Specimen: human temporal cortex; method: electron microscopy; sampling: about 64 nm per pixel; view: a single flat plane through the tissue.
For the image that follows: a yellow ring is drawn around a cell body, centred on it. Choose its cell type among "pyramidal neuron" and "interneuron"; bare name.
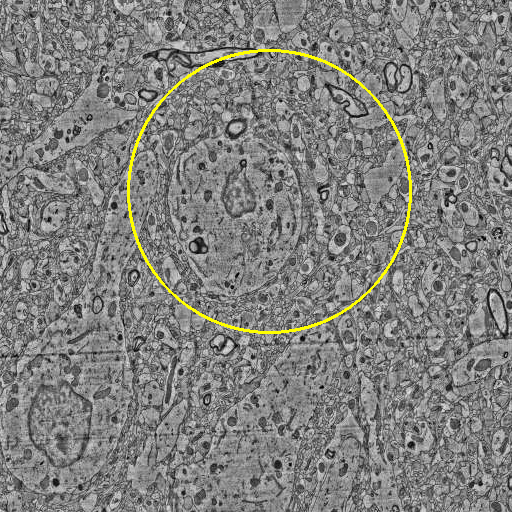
pyramidal neuron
